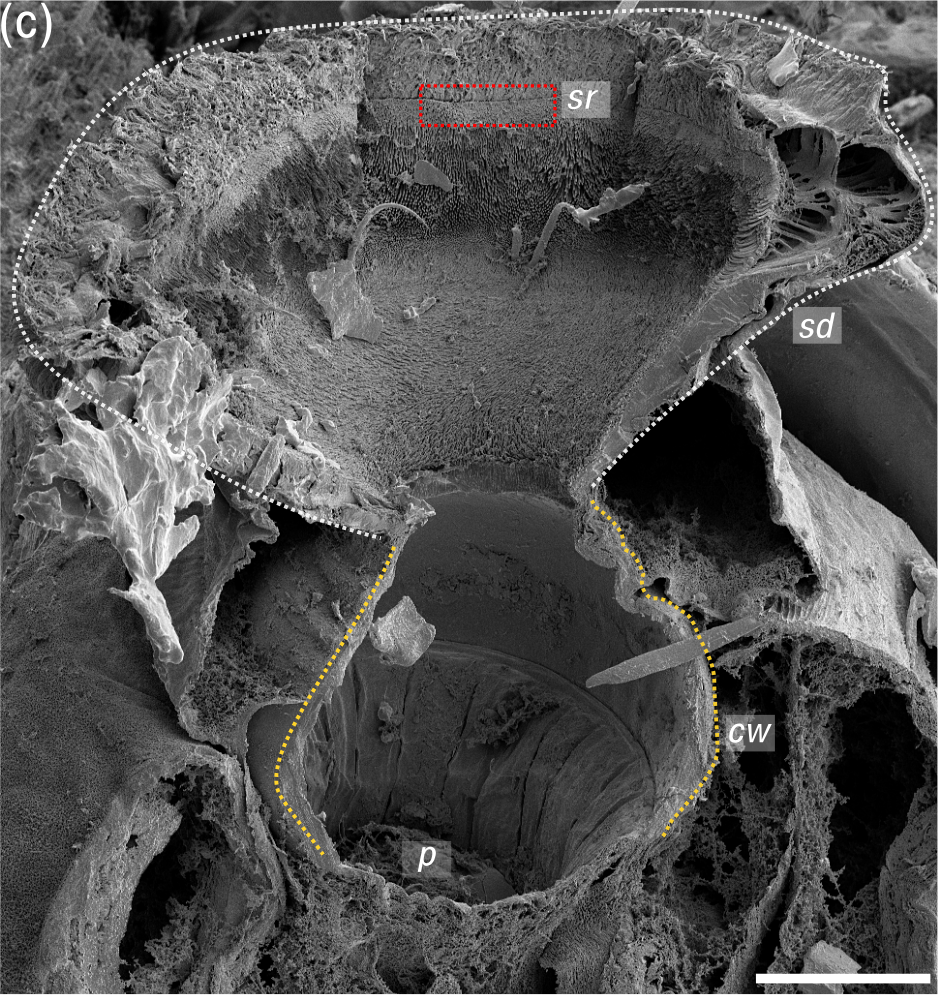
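This fractured attachment organ shows a broad, funnel-shaped suction disc on top, its ventral surface densely carpeted with fine hair-like microtrichia. Below the disc a narrow neck opens into a rounded chamber bounded by a smooth cuff wall, and a piston lies at the bottom of this cavity. Around the chamber the tissue is spongy and open, with loose fibrous strands.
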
